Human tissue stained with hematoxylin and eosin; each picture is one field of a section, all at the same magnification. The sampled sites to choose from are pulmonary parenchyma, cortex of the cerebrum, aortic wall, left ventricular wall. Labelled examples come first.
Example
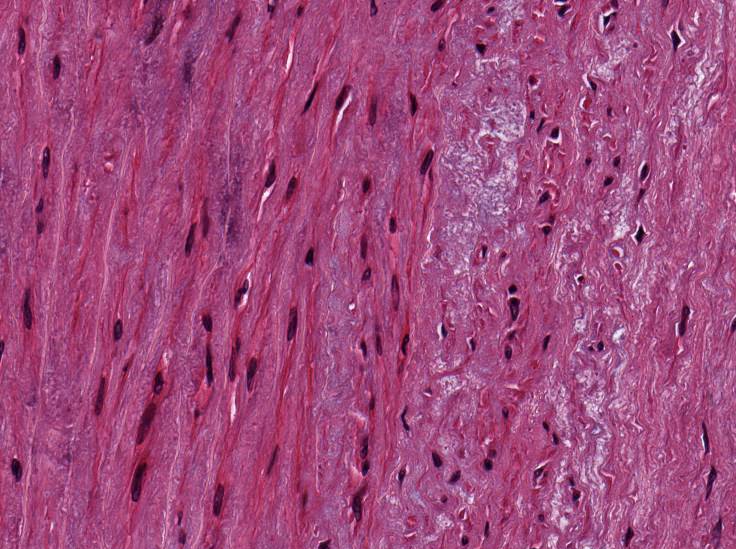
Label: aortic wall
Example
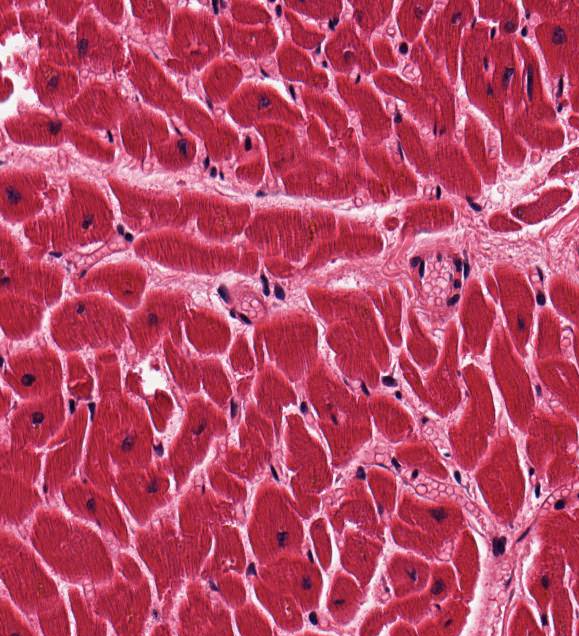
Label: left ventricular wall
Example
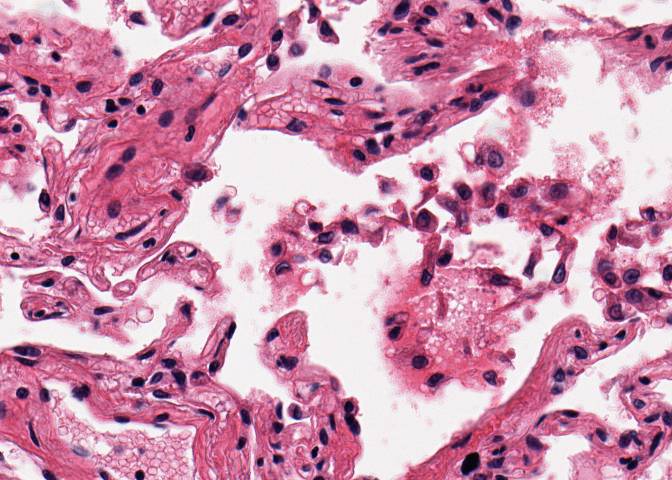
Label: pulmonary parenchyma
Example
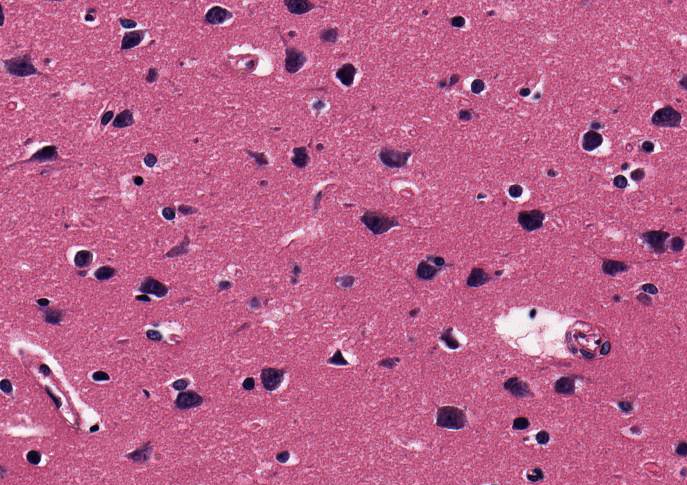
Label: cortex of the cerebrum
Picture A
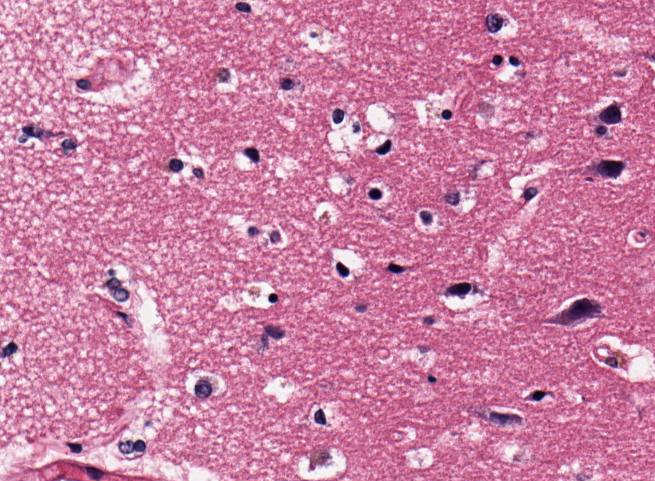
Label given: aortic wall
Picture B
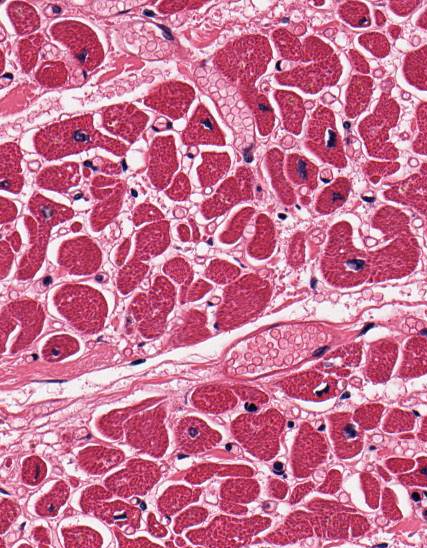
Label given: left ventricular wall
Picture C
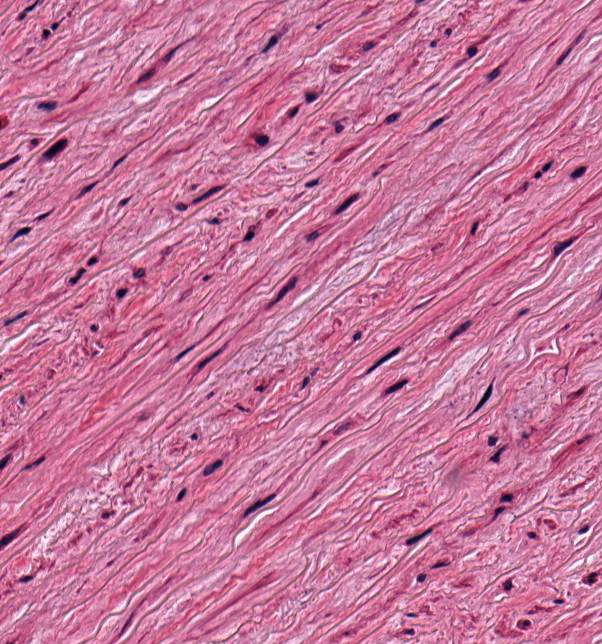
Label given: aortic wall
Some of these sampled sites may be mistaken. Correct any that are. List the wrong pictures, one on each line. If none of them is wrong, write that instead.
A is labelled aortic wall; correct label: cortex of the cerebrum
